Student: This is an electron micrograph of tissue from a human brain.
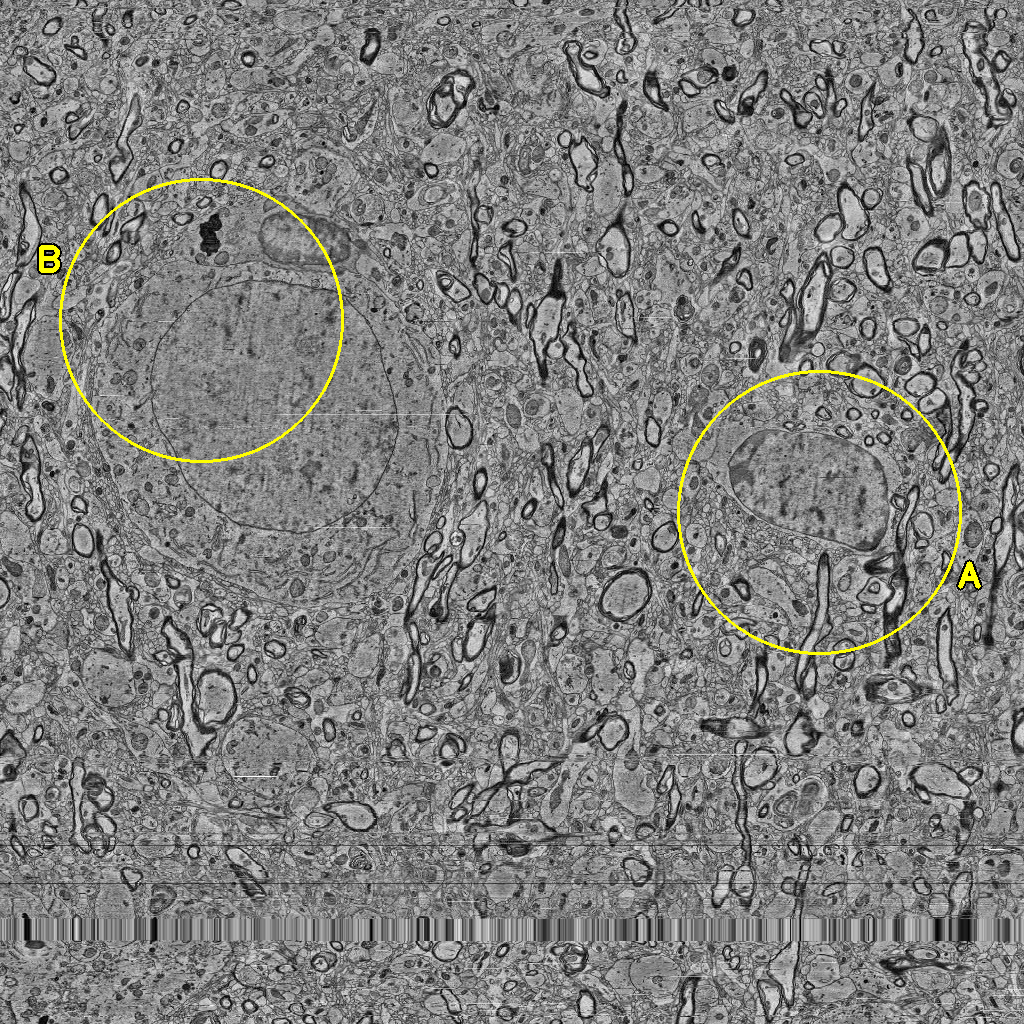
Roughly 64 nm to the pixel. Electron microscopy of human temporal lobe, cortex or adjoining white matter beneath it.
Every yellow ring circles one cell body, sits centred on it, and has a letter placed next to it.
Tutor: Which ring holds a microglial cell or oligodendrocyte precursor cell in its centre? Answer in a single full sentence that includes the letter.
Ring A is the ring whose centre holds the cell asked for in the picture.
